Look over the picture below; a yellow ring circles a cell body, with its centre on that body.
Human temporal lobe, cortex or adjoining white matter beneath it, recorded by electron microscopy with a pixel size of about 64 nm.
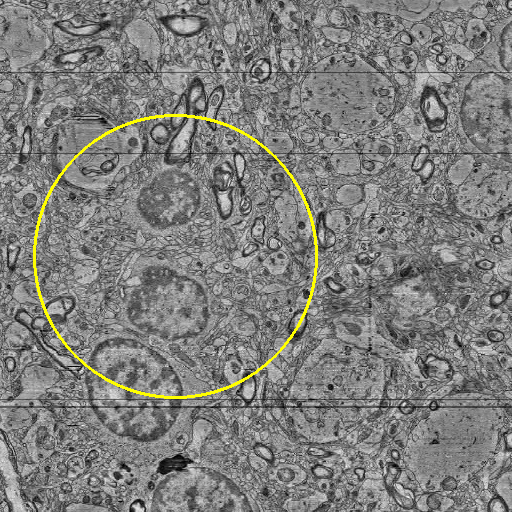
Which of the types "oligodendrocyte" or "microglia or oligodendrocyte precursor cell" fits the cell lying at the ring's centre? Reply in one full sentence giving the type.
The picture shows an oligodendrocyte at the centre of the yellow ring.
